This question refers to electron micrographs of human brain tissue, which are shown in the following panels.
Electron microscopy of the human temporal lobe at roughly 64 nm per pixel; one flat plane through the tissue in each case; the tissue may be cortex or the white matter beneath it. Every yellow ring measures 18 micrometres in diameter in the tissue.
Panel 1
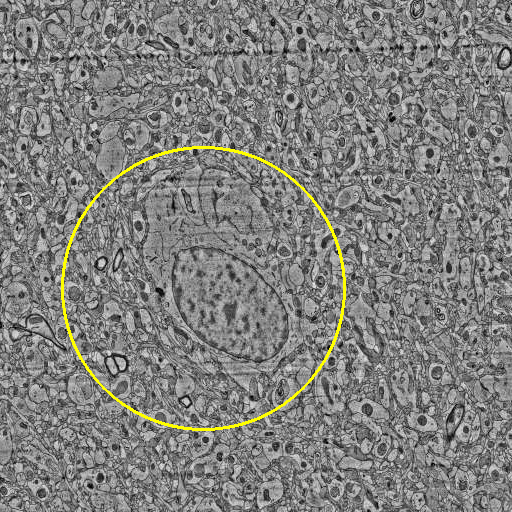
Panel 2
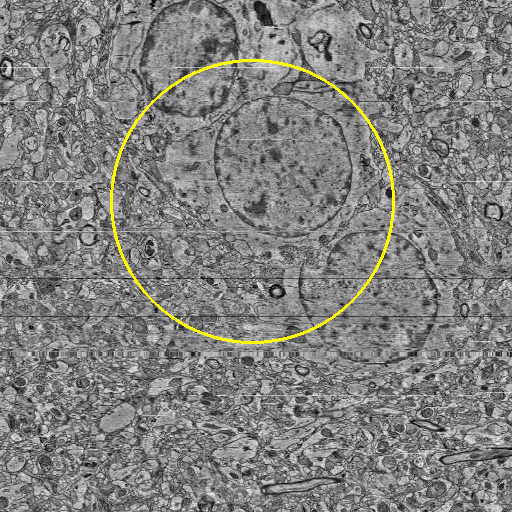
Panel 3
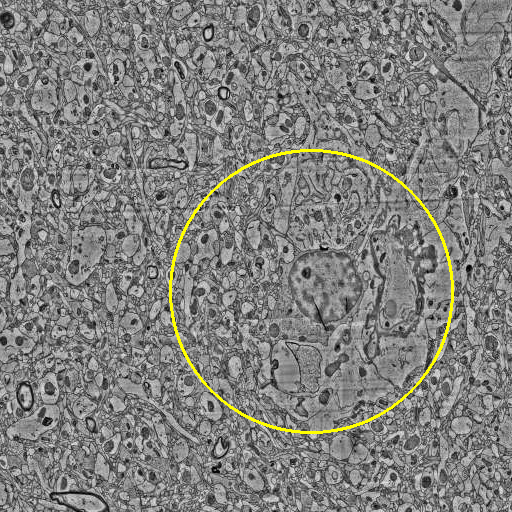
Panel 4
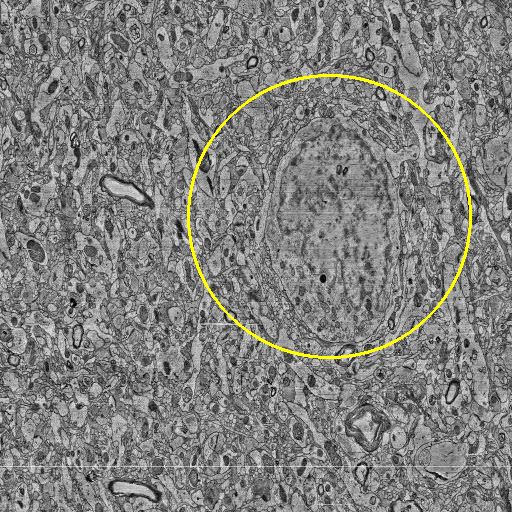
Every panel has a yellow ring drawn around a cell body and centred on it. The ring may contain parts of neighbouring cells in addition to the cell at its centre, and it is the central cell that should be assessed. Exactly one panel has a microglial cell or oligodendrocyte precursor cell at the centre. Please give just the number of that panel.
1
